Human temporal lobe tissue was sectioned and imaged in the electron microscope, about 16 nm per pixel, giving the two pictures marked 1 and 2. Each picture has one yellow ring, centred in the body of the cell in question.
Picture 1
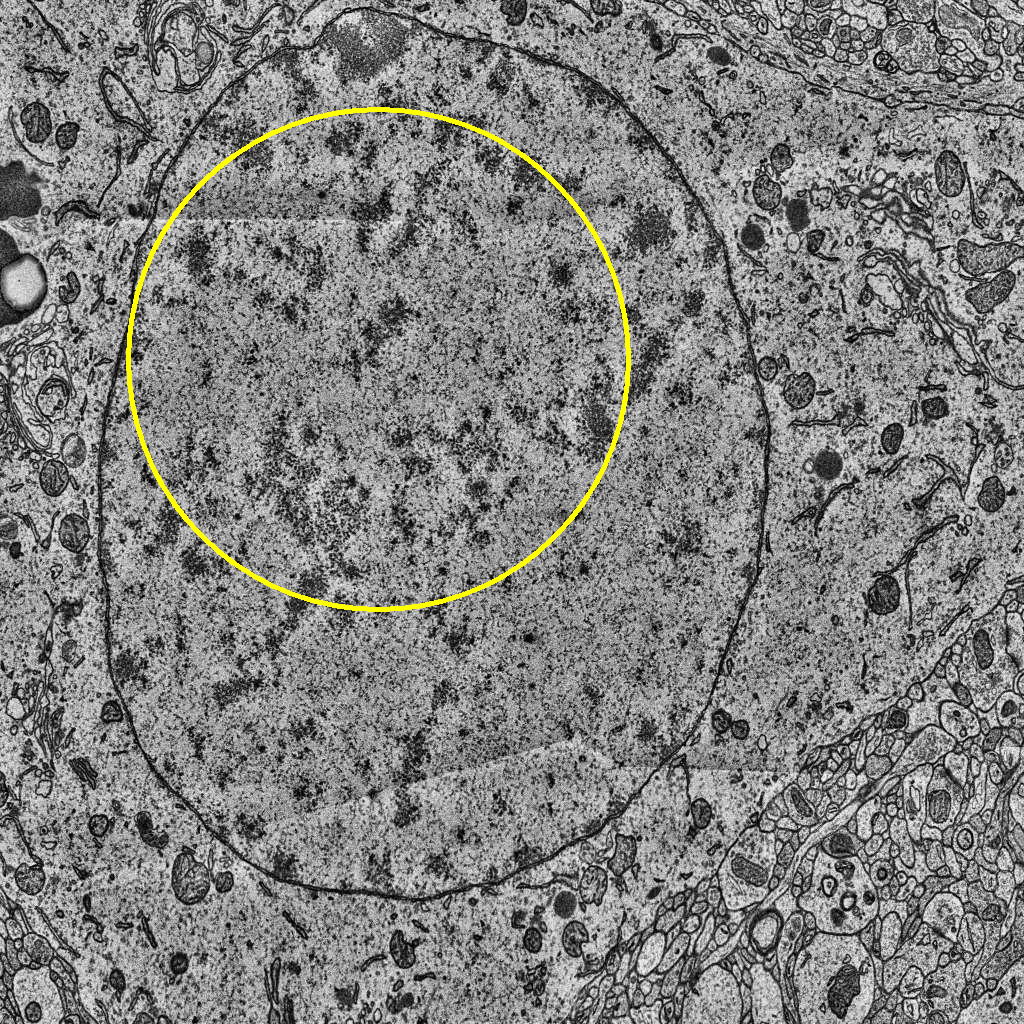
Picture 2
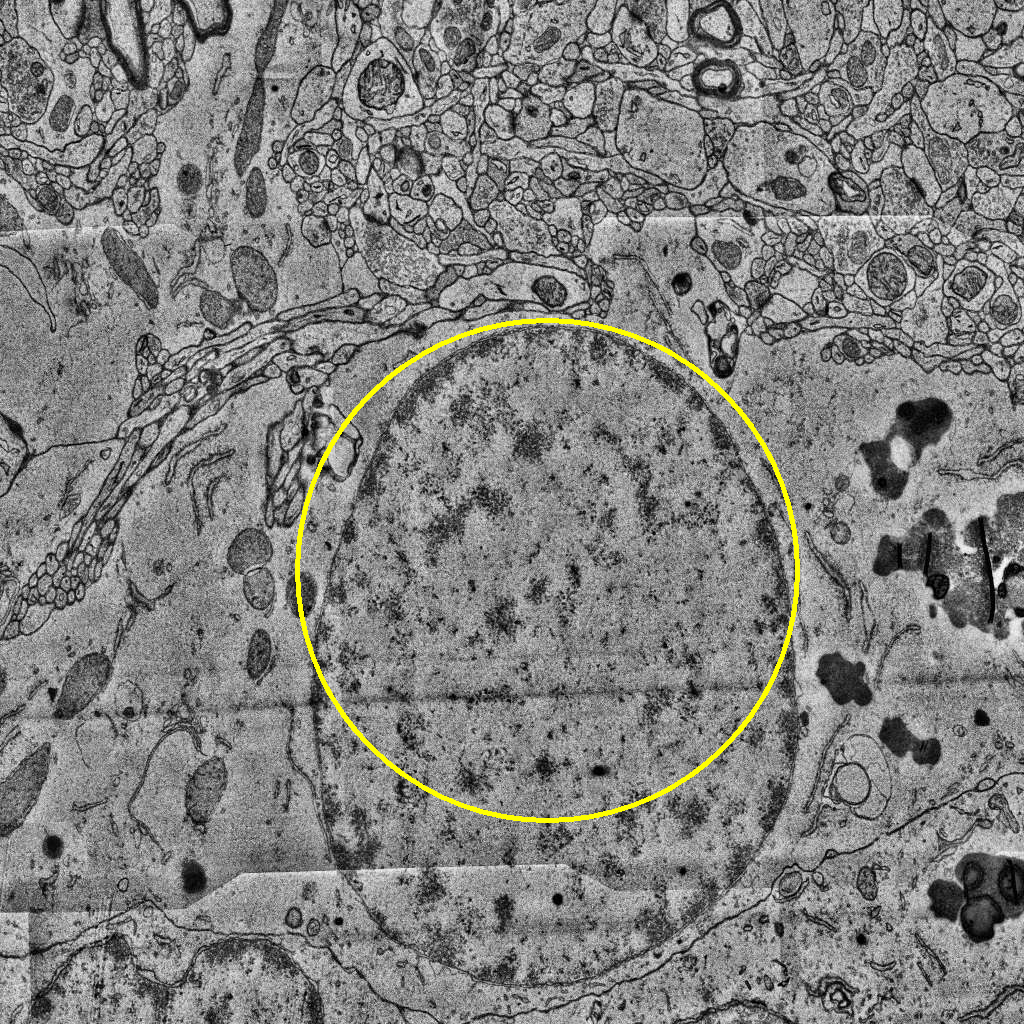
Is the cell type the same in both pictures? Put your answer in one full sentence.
No, they differ: the cell is a pyramidal neuron in picture 1 and an astrocyte in picture 2.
